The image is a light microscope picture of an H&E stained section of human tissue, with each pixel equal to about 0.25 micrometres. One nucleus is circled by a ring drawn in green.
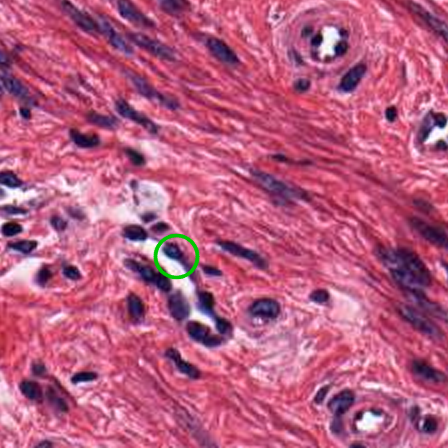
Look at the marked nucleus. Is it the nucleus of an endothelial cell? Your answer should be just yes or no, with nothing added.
yes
